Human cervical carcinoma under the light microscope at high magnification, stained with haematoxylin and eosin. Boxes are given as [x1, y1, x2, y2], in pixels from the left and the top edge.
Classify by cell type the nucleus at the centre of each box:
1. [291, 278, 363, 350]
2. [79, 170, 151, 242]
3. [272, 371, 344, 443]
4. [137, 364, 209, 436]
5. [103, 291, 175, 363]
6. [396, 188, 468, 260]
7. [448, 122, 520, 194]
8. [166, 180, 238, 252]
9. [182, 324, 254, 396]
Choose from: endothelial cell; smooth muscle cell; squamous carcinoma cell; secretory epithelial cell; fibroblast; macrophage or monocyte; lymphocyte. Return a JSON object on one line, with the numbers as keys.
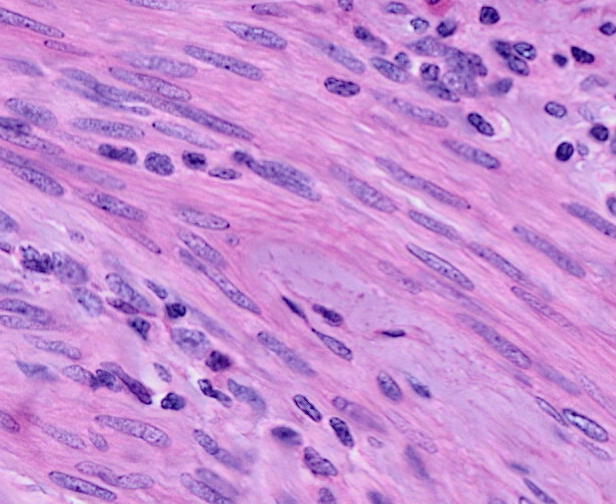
{"1": "smooth muscle cell", "2": "smooth muscle cell", "3": "lymphocyte", "4": "lymphocyte", "5": "lymphocyte", "6": "smooth muscle cell", "7": "smooth muscle cell", "8": "smooth muscle cell", "9": "lymphocyte"}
